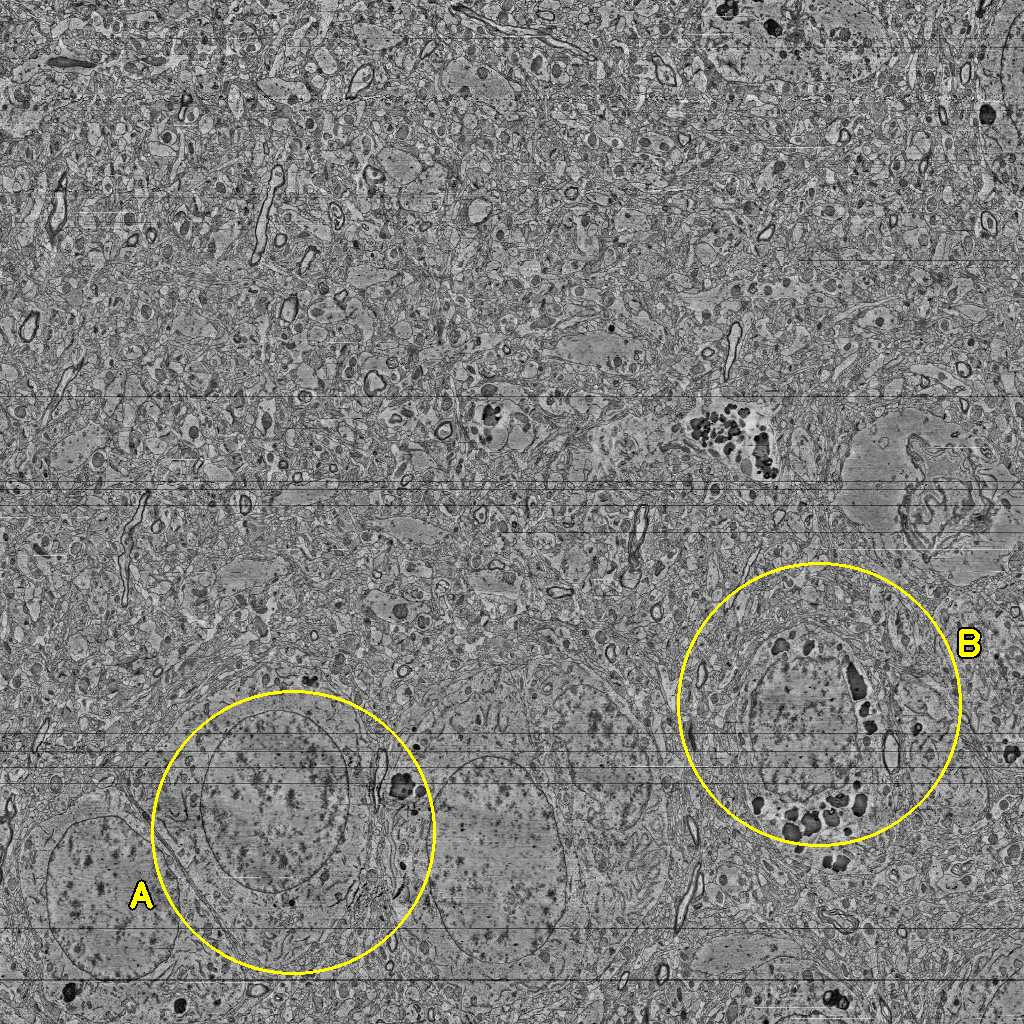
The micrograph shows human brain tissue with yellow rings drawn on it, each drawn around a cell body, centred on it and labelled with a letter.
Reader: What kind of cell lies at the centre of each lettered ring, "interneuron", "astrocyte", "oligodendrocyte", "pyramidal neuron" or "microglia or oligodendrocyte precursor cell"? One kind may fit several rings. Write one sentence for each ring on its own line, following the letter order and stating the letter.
At the centre of ring A lies a pyramidal neuron.
At the centre of ring B lies an interneuron.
